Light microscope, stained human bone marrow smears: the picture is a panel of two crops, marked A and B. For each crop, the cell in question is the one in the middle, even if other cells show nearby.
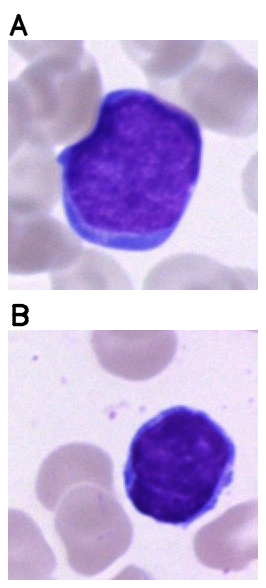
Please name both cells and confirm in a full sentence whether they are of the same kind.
No, crop A is home to a blast, and crop B to a lymphocyte.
